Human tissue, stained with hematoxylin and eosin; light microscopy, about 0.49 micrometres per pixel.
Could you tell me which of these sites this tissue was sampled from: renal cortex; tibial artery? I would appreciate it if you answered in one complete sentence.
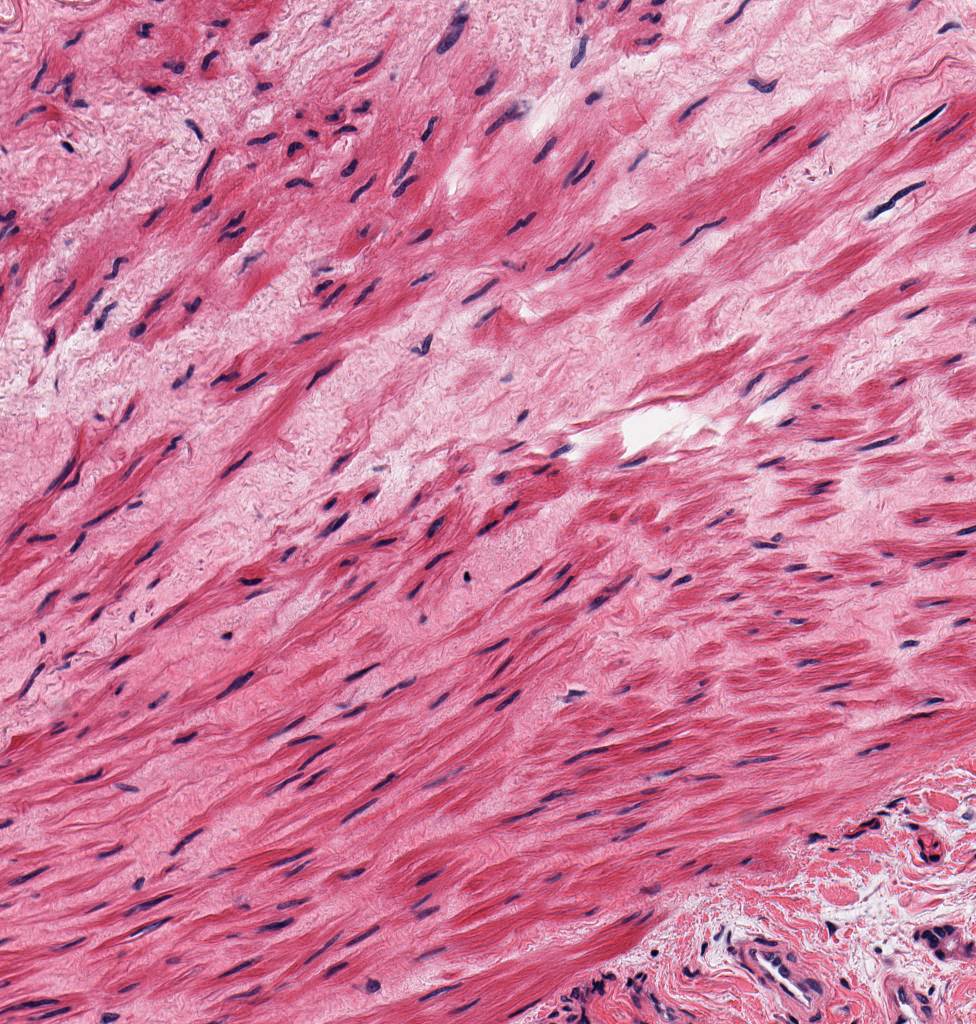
From the tibial artery was taken the tissue in this section.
